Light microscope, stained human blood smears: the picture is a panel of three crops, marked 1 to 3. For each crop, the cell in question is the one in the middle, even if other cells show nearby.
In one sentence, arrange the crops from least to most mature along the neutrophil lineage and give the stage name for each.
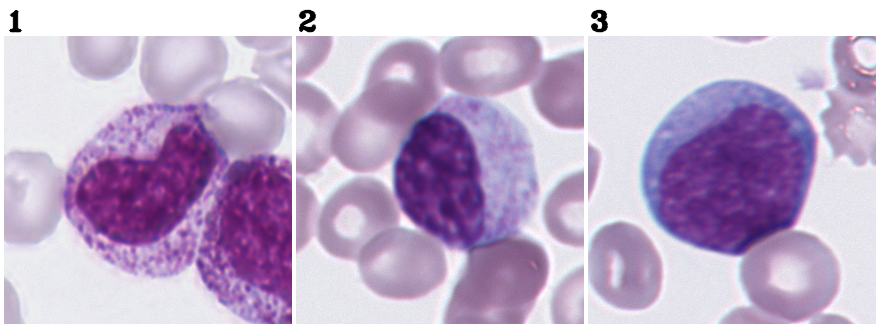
The cells, arranged from least to most mature, are crop 3 (a blast), crop 2 (a metamyelocyte) and crop 1 (a band neutrophil).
